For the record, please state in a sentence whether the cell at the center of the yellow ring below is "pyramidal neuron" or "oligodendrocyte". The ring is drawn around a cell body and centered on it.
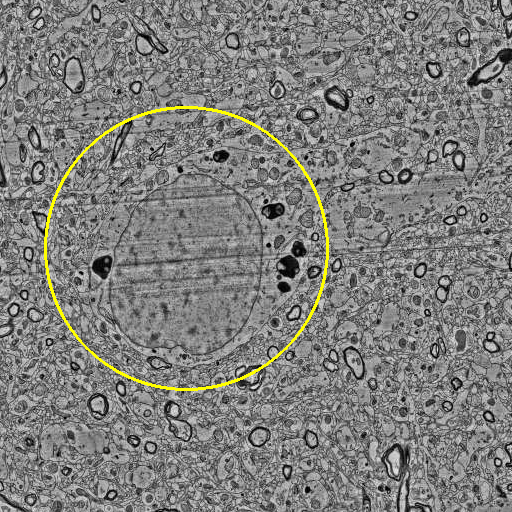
The cell at the ring's center is a pyramidal neuron.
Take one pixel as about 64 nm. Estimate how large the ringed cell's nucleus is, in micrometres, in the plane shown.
In this plane the nucleus spans approximately 12 by 10 micrometers.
